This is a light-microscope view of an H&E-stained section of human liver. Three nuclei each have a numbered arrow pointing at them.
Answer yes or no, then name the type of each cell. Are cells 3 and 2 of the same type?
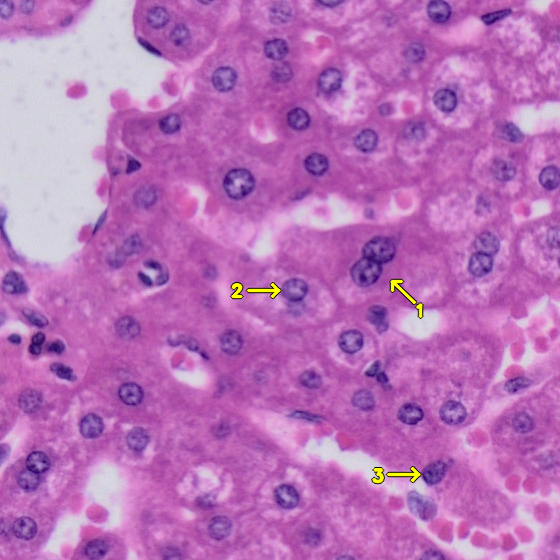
No, cell 3 is to be identified as a fibroblast or stellate cell and cell 2 as a hepatocyte.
